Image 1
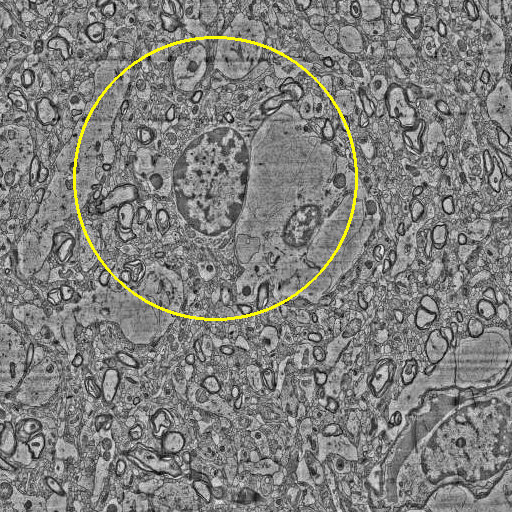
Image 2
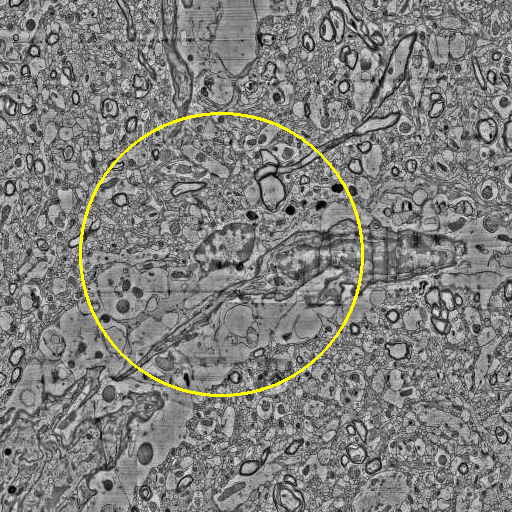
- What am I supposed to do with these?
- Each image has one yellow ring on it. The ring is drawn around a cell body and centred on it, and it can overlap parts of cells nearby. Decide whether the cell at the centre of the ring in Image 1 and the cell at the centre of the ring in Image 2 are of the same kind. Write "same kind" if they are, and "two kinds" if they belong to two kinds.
same kind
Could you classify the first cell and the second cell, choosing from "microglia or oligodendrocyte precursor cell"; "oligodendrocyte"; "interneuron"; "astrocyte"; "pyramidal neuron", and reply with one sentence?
In the first picture and in the second, the ring is centred on a microglial cell or oligodendrocyte precursor cell.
